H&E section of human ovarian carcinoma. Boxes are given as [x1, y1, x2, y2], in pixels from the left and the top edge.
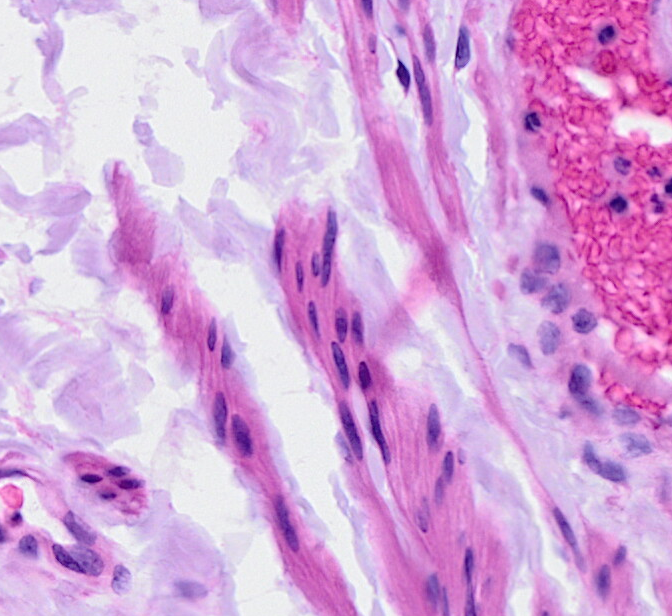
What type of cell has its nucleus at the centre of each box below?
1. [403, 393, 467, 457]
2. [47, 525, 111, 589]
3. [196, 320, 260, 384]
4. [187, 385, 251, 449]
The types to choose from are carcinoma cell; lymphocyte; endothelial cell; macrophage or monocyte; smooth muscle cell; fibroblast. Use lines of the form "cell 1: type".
cell 1: smooth muscle cell
cell 2: endothelial cell
cell 3: smooth muscle cell
cell 4: smooth muscle cell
